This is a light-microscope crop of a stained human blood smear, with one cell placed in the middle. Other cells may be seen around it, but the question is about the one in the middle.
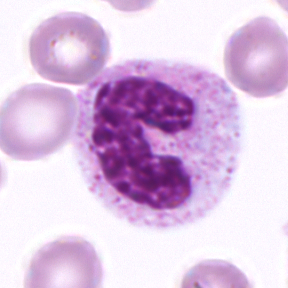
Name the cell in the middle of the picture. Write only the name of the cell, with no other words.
band neutrophil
